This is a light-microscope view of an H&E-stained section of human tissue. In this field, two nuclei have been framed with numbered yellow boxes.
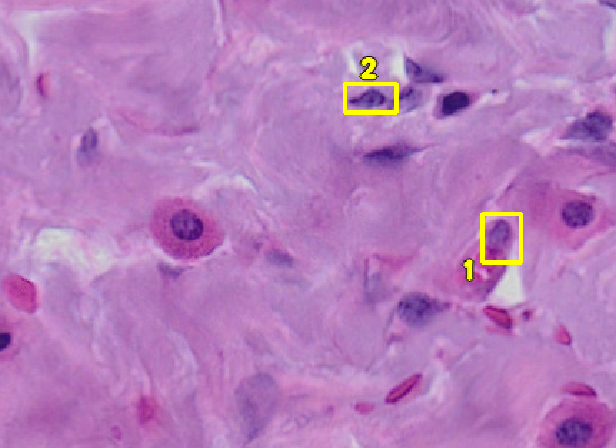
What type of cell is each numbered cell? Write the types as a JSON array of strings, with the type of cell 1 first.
["endothelial cell", "fibroblast"]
